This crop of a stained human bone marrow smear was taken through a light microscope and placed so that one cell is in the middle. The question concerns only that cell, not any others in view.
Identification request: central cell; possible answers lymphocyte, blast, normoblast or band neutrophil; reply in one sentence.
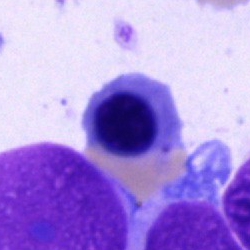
This crop is built around a normoblast at its centre.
